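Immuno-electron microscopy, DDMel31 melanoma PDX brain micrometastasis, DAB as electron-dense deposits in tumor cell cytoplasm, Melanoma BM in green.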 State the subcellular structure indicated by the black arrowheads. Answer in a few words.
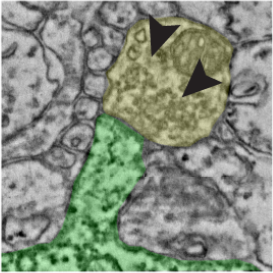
Presynaptic vesicles.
